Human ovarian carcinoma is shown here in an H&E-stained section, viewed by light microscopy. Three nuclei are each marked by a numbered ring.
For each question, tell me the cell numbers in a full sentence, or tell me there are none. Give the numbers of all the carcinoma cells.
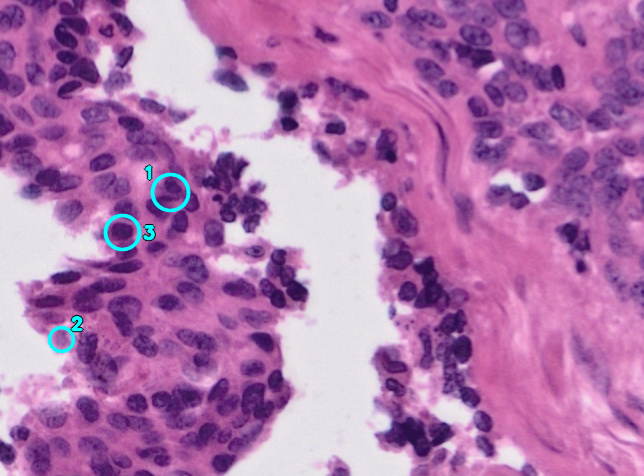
The numbers 1 and 3 mark cells that are carcinoma cells.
